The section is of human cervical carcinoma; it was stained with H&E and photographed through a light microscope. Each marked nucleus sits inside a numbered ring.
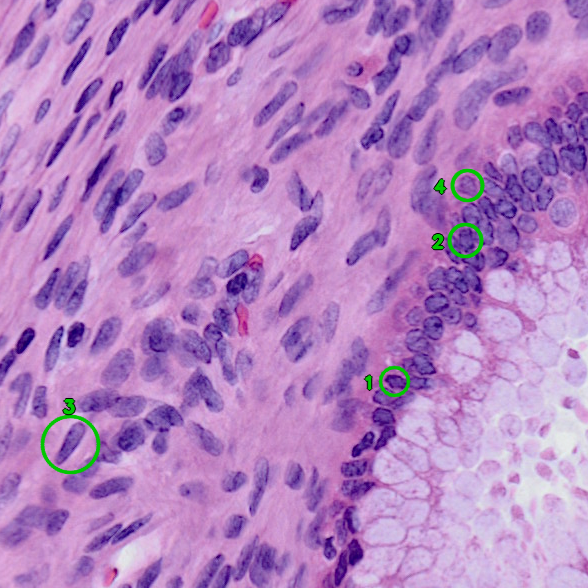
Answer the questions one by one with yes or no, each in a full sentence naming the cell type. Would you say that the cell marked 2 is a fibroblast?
No, the cell tagged 2 is a secretory epithelial cell, and not a fibroblast.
